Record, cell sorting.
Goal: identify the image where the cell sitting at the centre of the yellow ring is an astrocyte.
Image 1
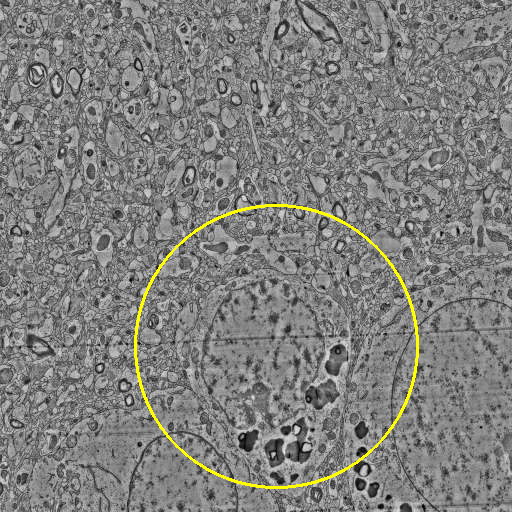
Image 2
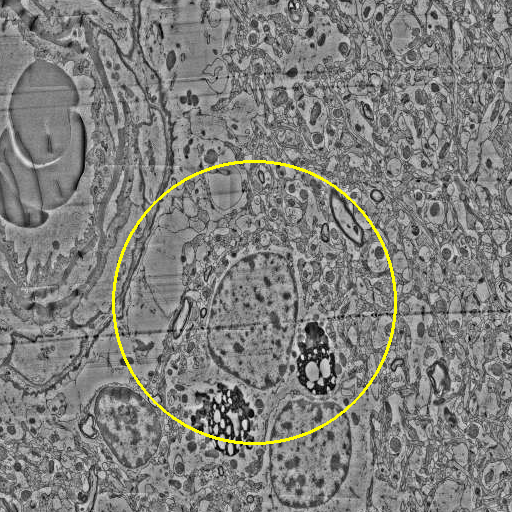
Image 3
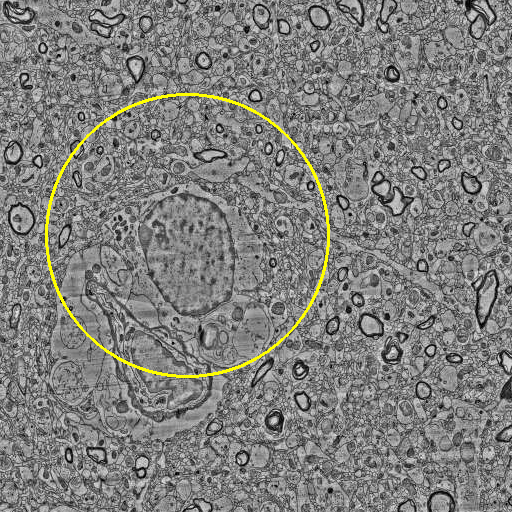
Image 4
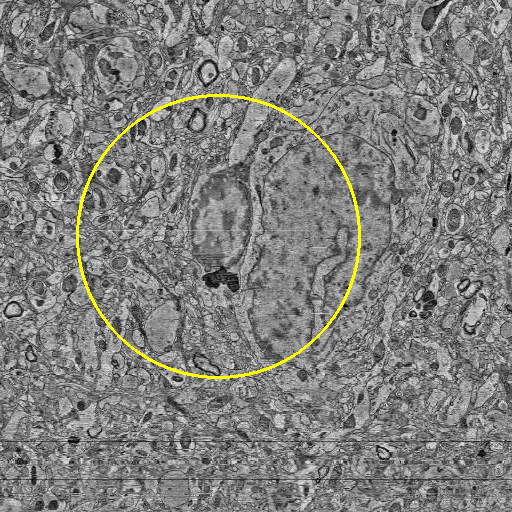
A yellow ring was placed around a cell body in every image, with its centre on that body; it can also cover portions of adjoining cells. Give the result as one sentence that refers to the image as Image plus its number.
Image 2 shows the requested cell sitting right at the centre of its ring.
